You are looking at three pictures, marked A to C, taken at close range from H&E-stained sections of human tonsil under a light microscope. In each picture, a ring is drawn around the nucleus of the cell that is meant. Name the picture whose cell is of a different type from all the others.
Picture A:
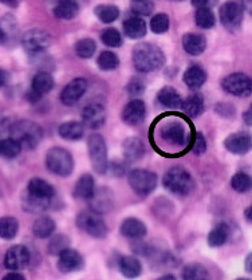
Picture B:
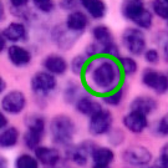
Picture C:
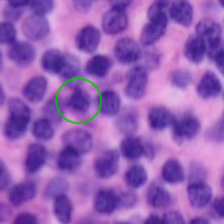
A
